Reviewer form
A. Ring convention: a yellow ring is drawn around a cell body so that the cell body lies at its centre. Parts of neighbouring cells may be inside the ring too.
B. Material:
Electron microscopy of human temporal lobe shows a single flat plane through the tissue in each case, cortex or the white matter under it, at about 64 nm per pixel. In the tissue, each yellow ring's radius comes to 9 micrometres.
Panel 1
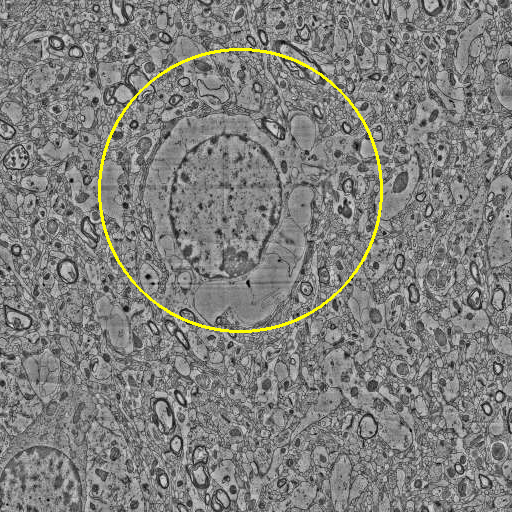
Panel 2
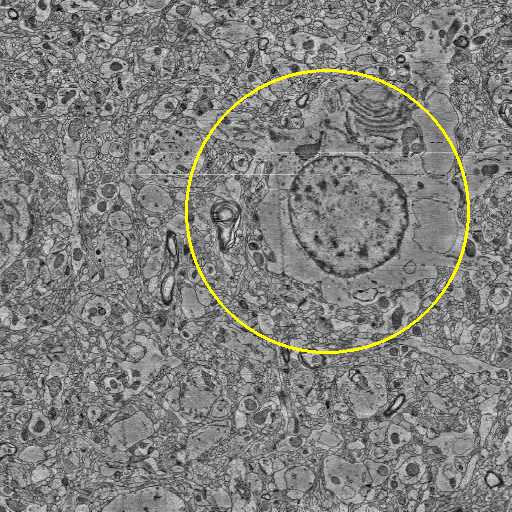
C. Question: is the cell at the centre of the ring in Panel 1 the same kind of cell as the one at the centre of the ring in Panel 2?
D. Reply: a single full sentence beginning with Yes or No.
Yes, the cells in Panel 1 and Panel 2 are the same kind of cell.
